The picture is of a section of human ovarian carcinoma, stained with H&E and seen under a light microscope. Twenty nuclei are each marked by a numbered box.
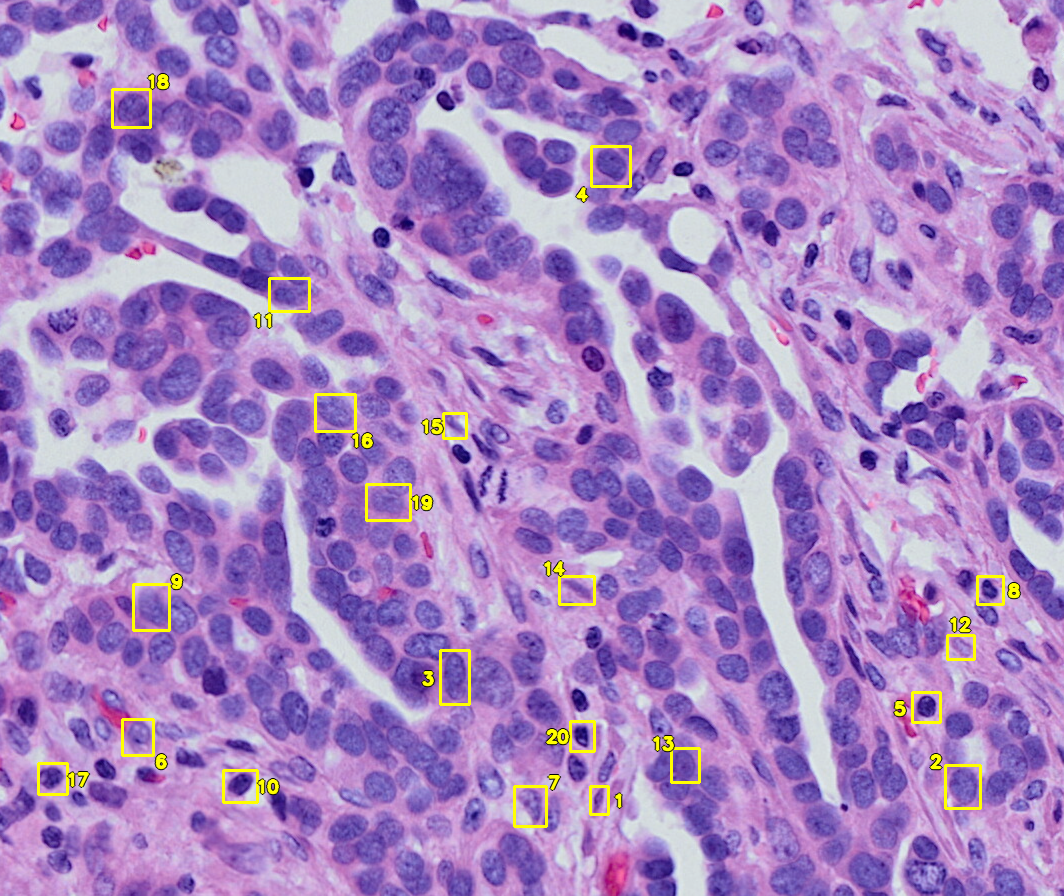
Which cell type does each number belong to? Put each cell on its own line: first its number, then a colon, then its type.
1: fibroblast
2: carcinoma cell
3: carcinoma cell
4: carcinoma cell
5: lymphocyte
6: endothelial cell
7: fibroblast
8: lymphocyte
9: carcinoma cell
10: lymphocyte
11: carcinoma cell
12: fibroblast
13: carcinoma cell
14: fibroblast
15: fibroblast
16: carcinoma cell
17: lymphocyte
18: carcinoma cell
19: carcinoma cell
20: lymphocyte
